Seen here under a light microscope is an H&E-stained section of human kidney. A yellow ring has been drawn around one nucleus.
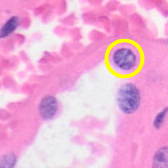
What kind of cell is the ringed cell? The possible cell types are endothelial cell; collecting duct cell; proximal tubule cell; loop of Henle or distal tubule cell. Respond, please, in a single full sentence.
To be brief about it, the ringed cell is a loop of Henle or distal tubule cell.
